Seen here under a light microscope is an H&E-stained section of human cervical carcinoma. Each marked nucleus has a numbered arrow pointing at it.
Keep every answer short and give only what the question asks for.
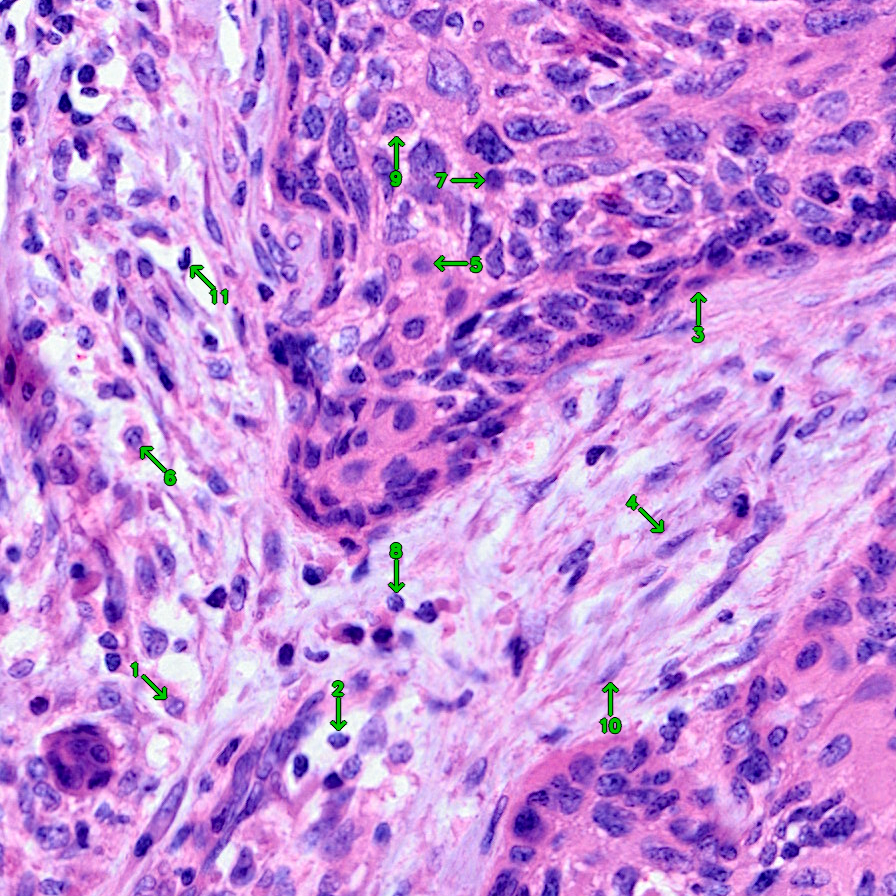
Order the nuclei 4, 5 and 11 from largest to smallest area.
4, 5, 11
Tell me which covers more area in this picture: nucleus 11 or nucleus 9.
9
